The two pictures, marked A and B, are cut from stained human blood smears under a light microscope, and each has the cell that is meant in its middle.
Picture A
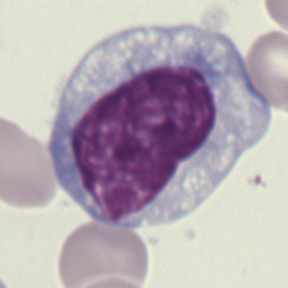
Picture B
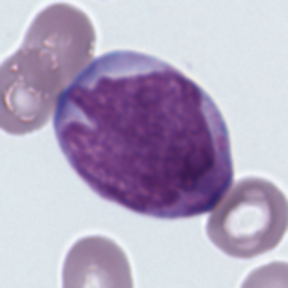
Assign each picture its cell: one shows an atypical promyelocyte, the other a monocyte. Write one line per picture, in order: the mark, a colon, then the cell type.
A: monocyte
B: atypical promyelocyte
